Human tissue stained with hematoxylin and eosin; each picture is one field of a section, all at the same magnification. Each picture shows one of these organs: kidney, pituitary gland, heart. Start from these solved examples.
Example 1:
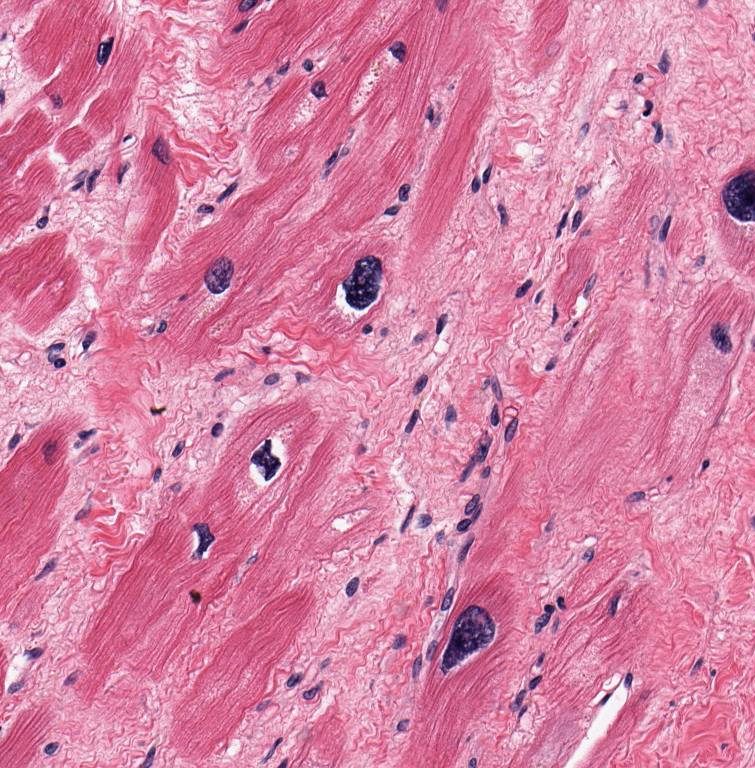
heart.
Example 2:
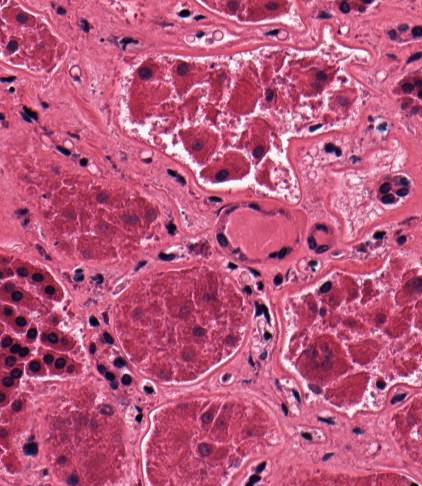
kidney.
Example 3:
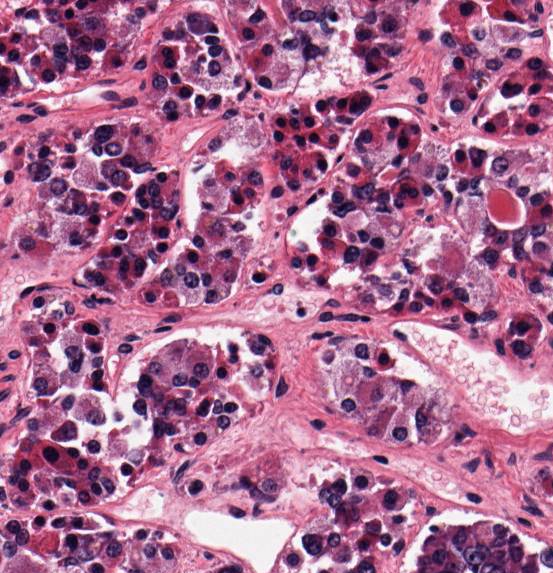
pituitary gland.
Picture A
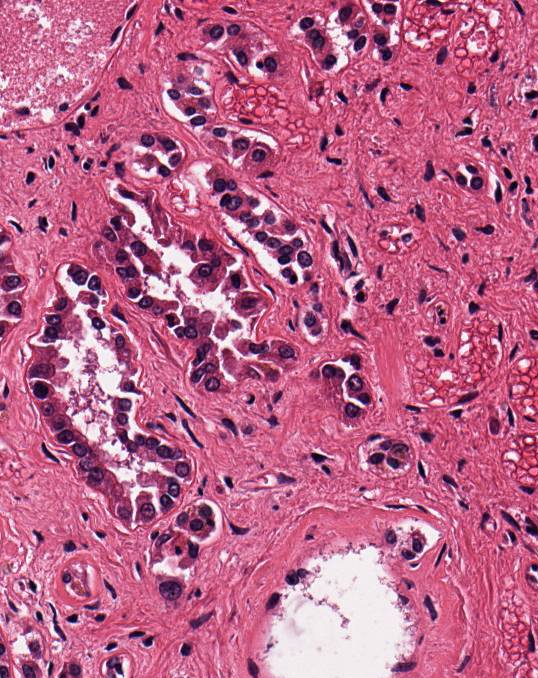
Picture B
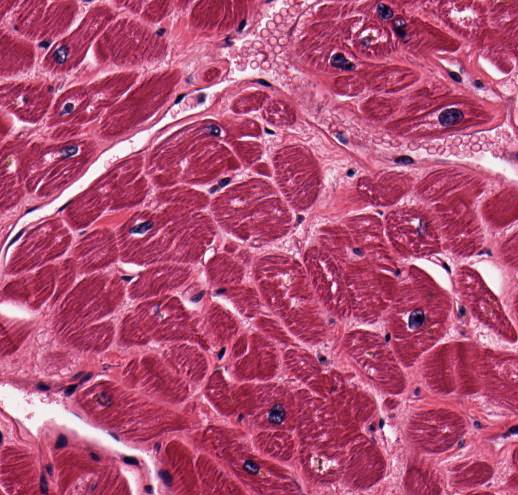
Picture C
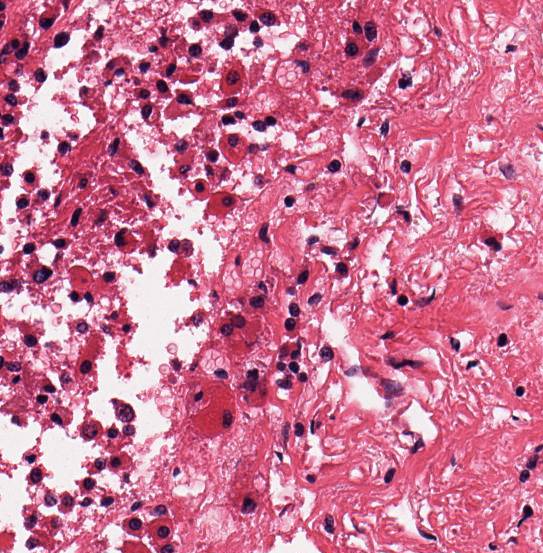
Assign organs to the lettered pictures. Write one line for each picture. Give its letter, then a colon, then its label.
A: kidney.
B: heart.
C: pituitary gland.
